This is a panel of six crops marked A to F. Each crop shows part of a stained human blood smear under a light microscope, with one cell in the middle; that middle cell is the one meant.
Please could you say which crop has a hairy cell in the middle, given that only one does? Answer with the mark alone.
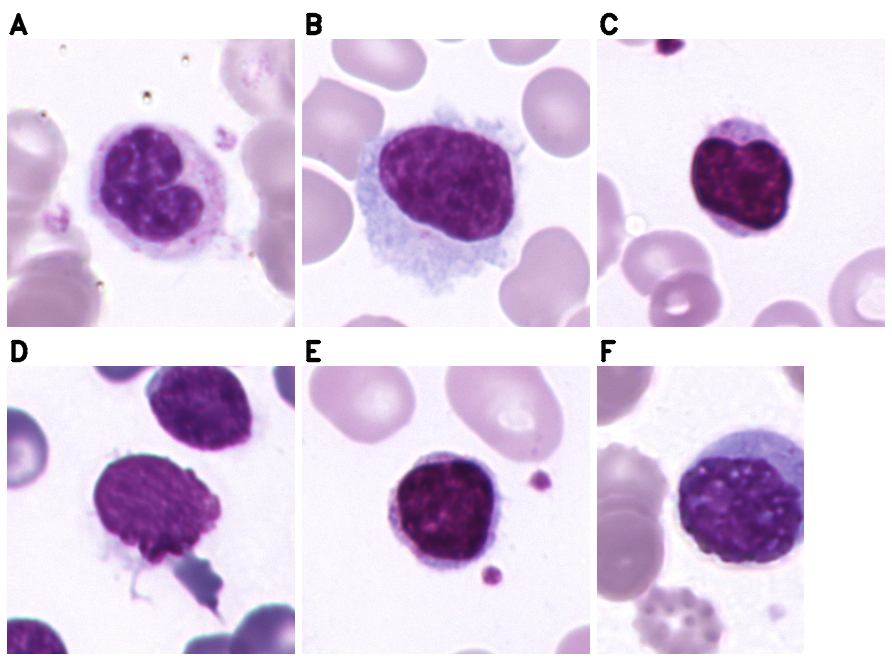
B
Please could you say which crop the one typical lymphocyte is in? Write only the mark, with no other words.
C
